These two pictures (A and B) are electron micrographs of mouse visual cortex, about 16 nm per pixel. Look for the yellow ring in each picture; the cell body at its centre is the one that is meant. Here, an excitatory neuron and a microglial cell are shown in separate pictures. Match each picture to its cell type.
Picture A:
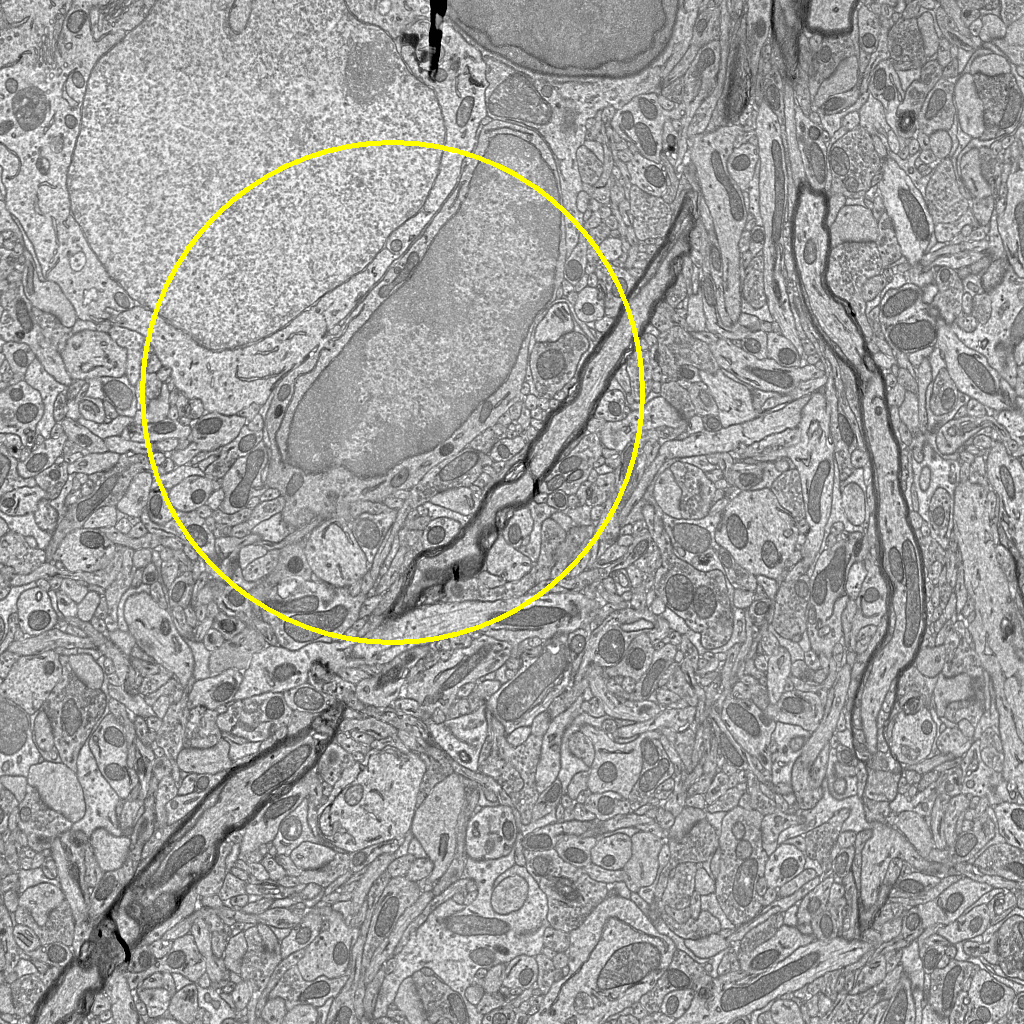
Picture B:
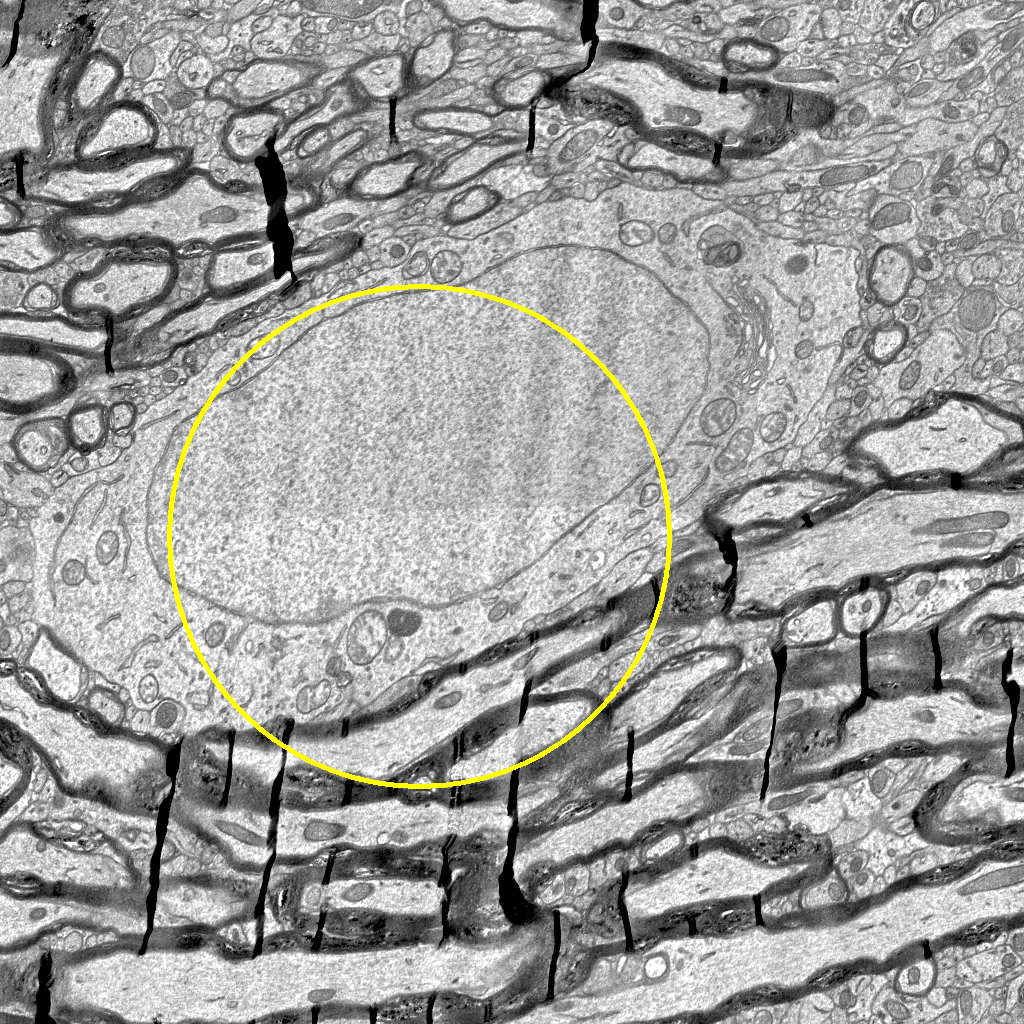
In picture A the cell is a microglial cell; in picture B, an excitatory neuron.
